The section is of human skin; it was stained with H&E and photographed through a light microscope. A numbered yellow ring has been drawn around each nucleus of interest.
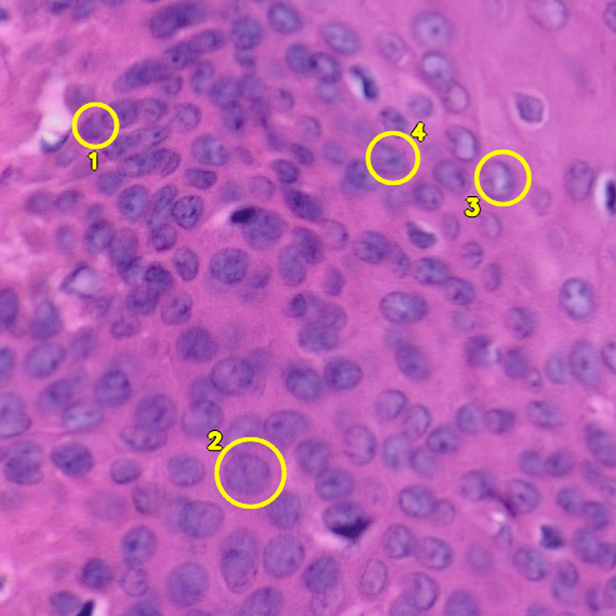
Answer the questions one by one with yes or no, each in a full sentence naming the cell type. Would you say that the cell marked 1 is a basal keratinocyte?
Yes, the cell with number 1 is a basal keratinocyte.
